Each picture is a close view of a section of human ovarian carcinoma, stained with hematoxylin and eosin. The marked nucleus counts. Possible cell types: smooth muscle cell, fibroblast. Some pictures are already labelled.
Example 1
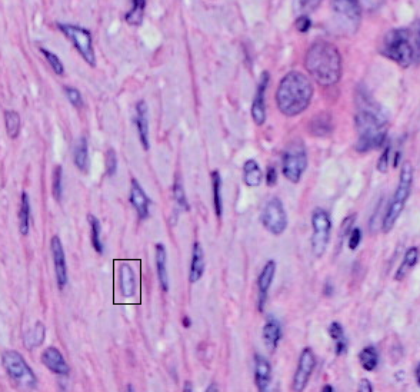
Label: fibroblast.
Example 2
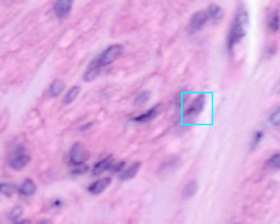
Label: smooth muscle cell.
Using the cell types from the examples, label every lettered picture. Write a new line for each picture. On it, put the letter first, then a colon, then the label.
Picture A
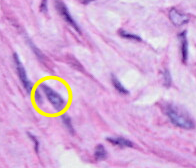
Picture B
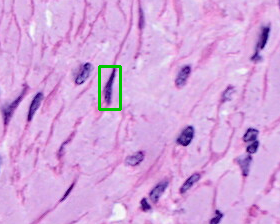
A: fibroblast.
B: fibroblast.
